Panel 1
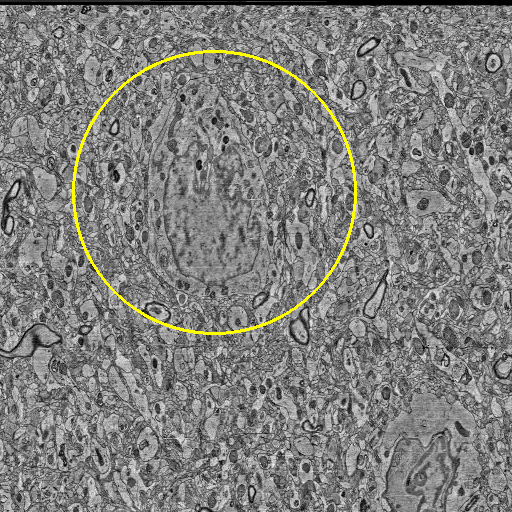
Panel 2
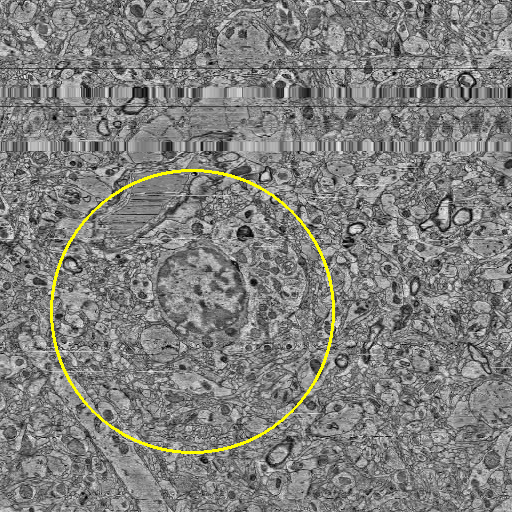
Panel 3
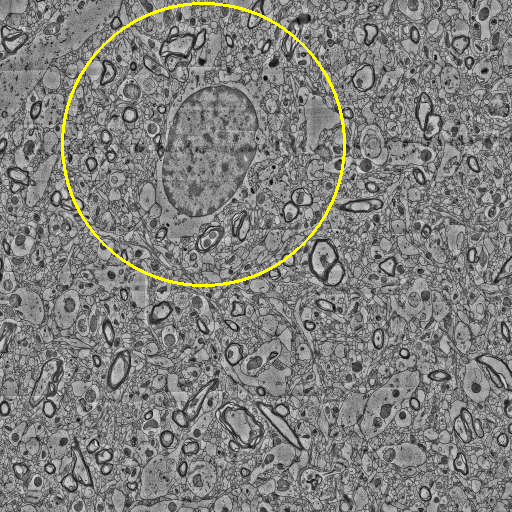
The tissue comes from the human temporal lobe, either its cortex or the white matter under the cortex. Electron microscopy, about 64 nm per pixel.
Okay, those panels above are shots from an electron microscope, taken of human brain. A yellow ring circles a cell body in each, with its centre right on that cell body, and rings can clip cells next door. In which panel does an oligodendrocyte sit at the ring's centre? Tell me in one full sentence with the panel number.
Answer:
The cell you asked for sits at the ring's centre in panel 2.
